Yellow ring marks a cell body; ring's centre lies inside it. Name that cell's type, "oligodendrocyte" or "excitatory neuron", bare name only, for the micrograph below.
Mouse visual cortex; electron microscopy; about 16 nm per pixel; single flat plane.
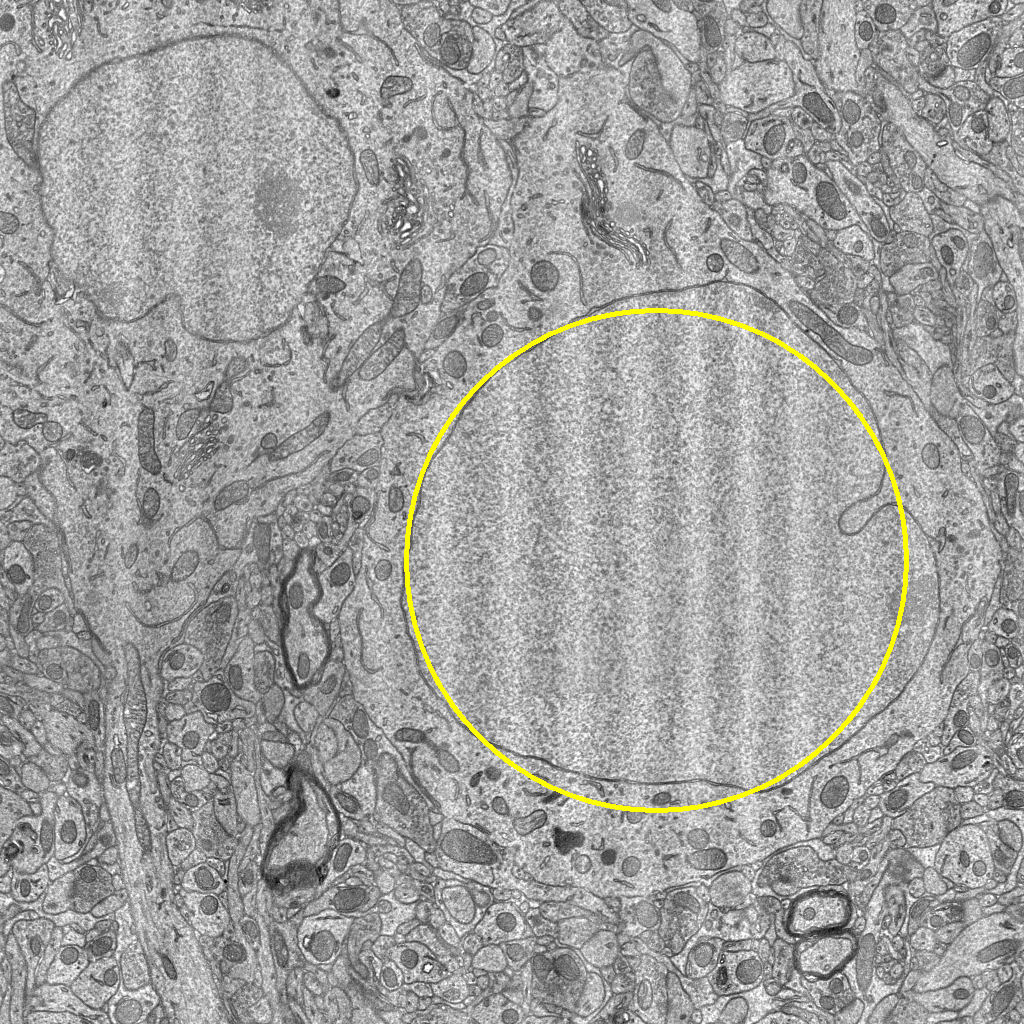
excitatory neuron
